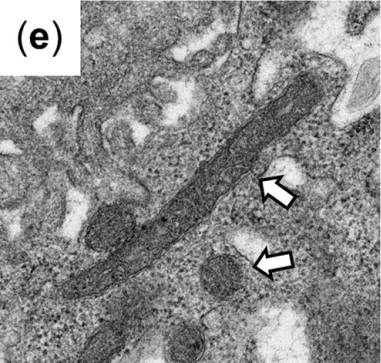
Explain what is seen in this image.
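Cytoplasm of a cell with mitochondria among pale, irregular vesicles and granular cytoplasm. One mitochondrion is long and slender with a dense matrix and transverse cristae, and small round dense mitochondria lie near it.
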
